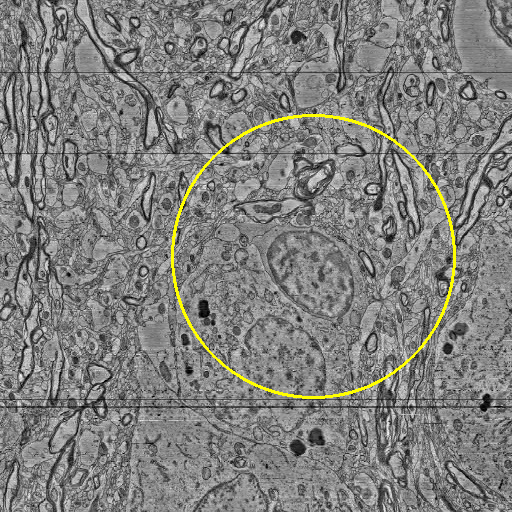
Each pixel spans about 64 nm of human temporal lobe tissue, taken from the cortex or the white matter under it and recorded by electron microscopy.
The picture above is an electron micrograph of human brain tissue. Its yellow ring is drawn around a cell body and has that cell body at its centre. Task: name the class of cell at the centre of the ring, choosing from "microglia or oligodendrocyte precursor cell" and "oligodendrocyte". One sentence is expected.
The ring surrounds the body of an oligodendrocyte.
